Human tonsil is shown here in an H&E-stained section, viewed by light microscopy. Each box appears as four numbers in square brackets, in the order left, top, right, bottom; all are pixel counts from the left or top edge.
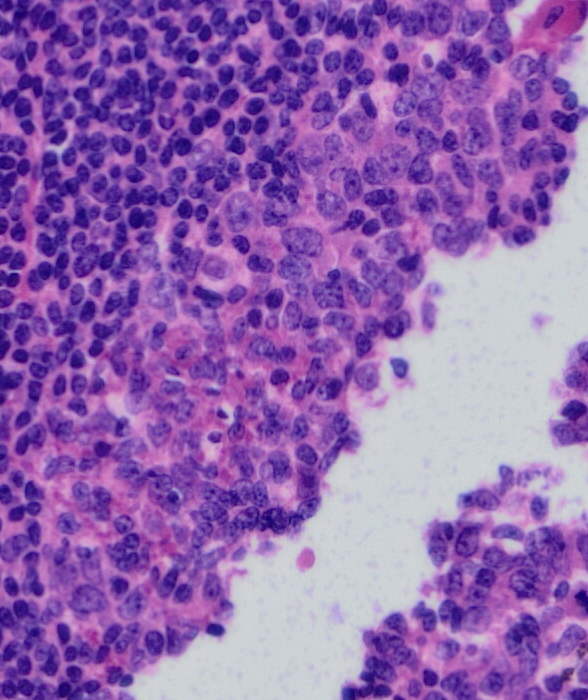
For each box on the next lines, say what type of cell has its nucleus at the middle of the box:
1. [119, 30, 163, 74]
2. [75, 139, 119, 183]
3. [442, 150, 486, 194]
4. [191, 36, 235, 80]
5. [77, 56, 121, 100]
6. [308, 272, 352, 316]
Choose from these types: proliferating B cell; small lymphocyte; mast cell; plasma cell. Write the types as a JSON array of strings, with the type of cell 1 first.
["small lymphocyte", "small lymphocyte", "proliferating B cell", "small lymphocyte", "small lymphocyte", "proliferating B cell"]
